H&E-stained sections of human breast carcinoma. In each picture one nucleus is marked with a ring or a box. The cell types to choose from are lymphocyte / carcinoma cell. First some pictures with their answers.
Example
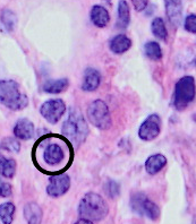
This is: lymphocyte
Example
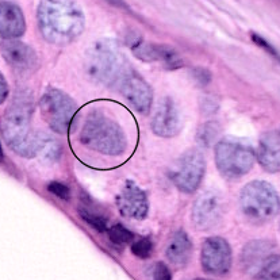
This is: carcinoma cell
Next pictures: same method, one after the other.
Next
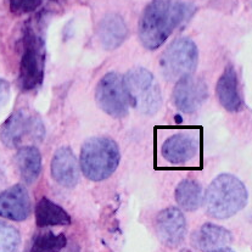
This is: carcinoma cell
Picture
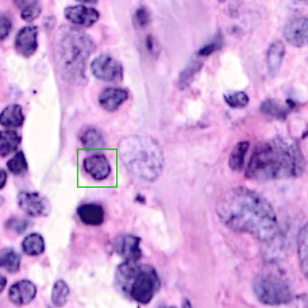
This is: lymphocyte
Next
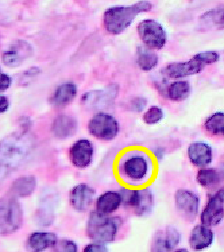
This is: lymphocyte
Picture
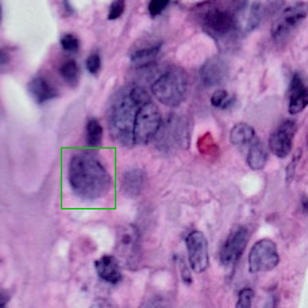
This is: carcinoma cell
